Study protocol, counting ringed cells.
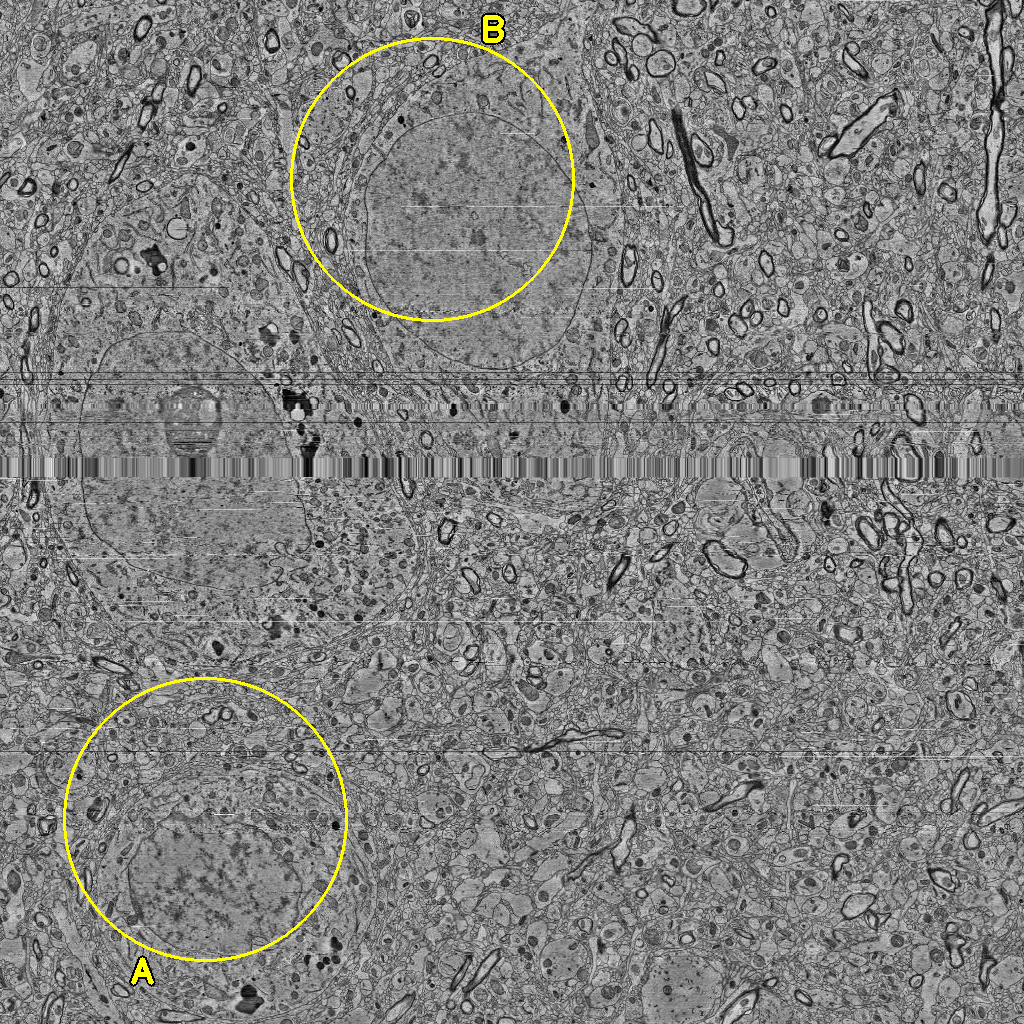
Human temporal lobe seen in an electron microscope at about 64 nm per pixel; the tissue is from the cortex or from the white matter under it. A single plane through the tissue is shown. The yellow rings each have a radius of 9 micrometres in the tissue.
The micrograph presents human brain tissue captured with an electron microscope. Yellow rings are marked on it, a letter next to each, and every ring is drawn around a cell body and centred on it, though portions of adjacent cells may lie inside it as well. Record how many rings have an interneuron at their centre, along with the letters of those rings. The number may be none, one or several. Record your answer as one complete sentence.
Only one yellow ring has its centre on an interneuron, and that ring is A.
